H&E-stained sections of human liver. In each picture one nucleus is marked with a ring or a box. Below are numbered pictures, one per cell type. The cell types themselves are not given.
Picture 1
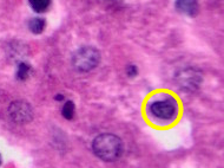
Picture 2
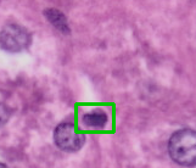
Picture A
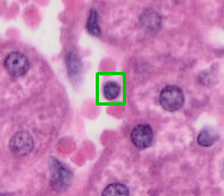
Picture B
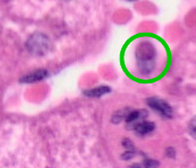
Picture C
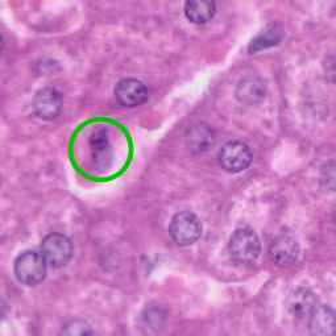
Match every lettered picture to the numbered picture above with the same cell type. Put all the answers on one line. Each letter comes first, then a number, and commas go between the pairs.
A 2, B 1, C 1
